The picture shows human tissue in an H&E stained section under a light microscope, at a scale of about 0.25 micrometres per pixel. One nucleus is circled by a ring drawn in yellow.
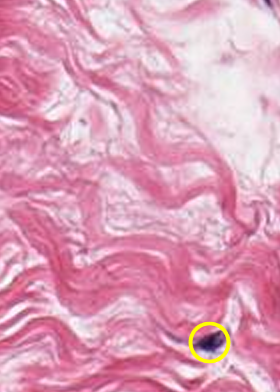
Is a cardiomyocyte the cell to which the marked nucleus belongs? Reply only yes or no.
no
